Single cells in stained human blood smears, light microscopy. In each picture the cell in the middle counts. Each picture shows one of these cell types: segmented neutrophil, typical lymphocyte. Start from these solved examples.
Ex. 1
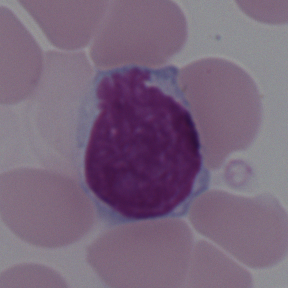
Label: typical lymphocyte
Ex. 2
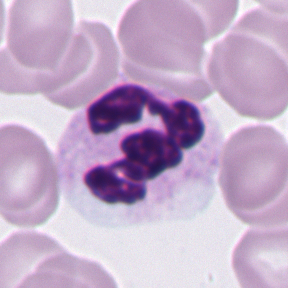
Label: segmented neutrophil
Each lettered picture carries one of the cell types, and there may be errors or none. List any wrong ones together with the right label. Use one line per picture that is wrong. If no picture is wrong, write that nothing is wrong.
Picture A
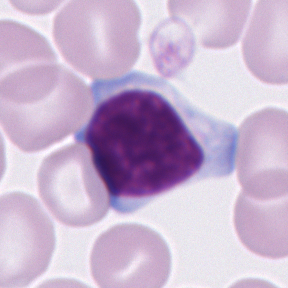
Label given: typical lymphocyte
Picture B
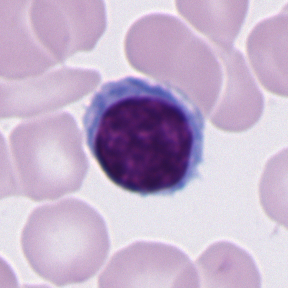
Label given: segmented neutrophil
B: not segmented neutrophil but typical lymphocyte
